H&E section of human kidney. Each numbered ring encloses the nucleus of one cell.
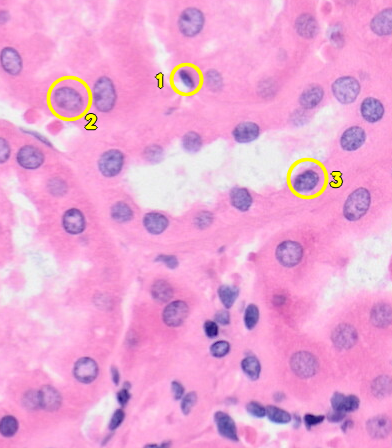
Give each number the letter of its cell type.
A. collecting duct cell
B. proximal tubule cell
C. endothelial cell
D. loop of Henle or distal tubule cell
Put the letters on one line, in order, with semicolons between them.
C; B; D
